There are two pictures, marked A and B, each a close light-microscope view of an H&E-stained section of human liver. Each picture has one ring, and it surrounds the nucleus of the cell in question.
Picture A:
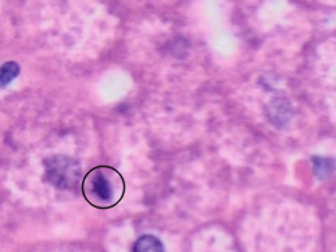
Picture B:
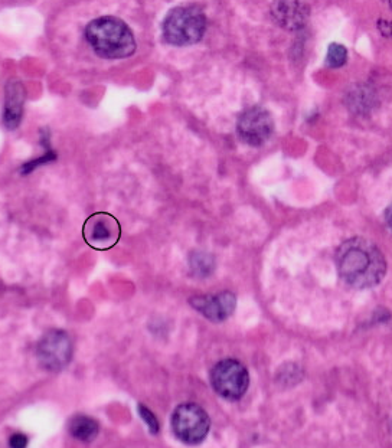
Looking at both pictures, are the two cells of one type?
yes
